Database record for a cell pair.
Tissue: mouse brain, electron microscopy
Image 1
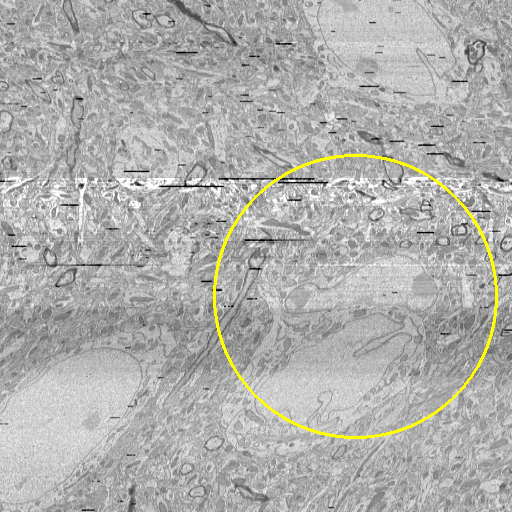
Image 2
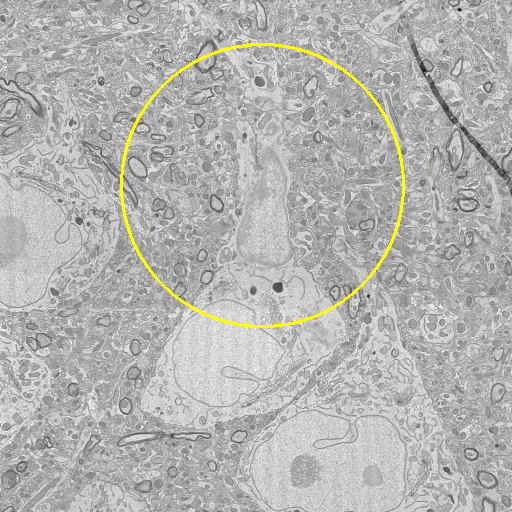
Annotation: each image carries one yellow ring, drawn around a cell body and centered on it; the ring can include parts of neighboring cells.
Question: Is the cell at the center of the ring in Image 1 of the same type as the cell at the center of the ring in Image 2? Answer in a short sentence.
Yes, the cells are of the same type.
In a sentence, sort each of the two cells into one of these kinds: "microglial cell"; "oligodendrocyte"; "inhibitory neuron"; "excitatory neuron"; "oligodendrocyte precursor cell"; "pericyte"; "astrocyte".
Each of the two rings surrounds an oligodendrocyte precursor cell.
